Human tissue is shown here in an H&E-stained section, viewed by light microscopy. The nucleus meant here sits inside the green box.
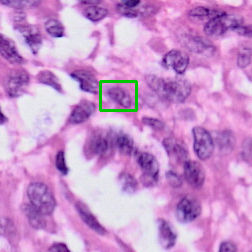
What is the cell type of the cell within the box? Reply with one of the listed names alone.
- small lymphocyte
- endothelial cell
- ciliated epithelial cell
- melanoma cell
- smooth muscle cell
melanoma cell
